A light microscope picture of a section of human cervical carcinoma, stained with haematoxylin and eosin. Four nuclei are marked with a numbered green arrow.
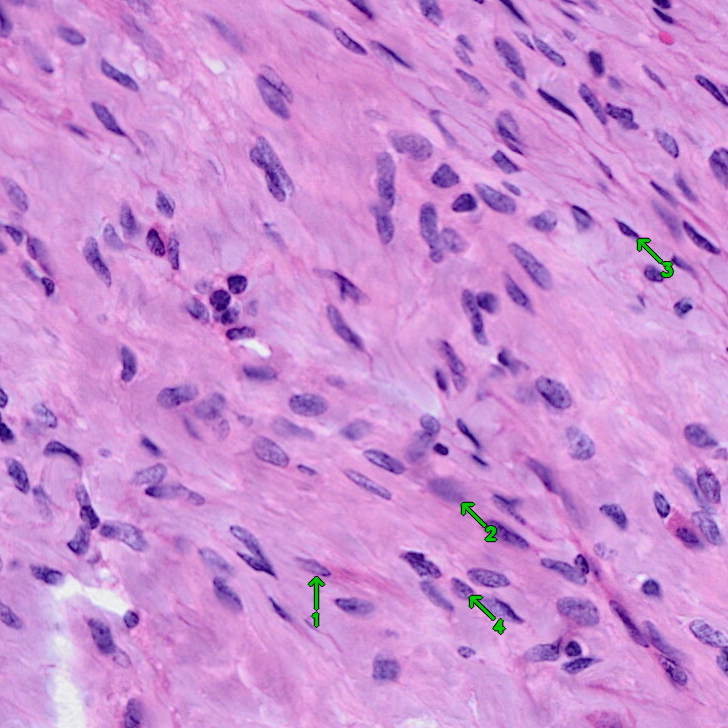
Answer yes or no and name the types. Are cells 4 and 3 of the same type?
Yes, in short, cells 4 and 3 are both fibroblasts.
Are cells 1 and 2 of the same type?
No, a smooth muscle cell is what cell 1 is, and a fibroblast is what cell 2 is.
